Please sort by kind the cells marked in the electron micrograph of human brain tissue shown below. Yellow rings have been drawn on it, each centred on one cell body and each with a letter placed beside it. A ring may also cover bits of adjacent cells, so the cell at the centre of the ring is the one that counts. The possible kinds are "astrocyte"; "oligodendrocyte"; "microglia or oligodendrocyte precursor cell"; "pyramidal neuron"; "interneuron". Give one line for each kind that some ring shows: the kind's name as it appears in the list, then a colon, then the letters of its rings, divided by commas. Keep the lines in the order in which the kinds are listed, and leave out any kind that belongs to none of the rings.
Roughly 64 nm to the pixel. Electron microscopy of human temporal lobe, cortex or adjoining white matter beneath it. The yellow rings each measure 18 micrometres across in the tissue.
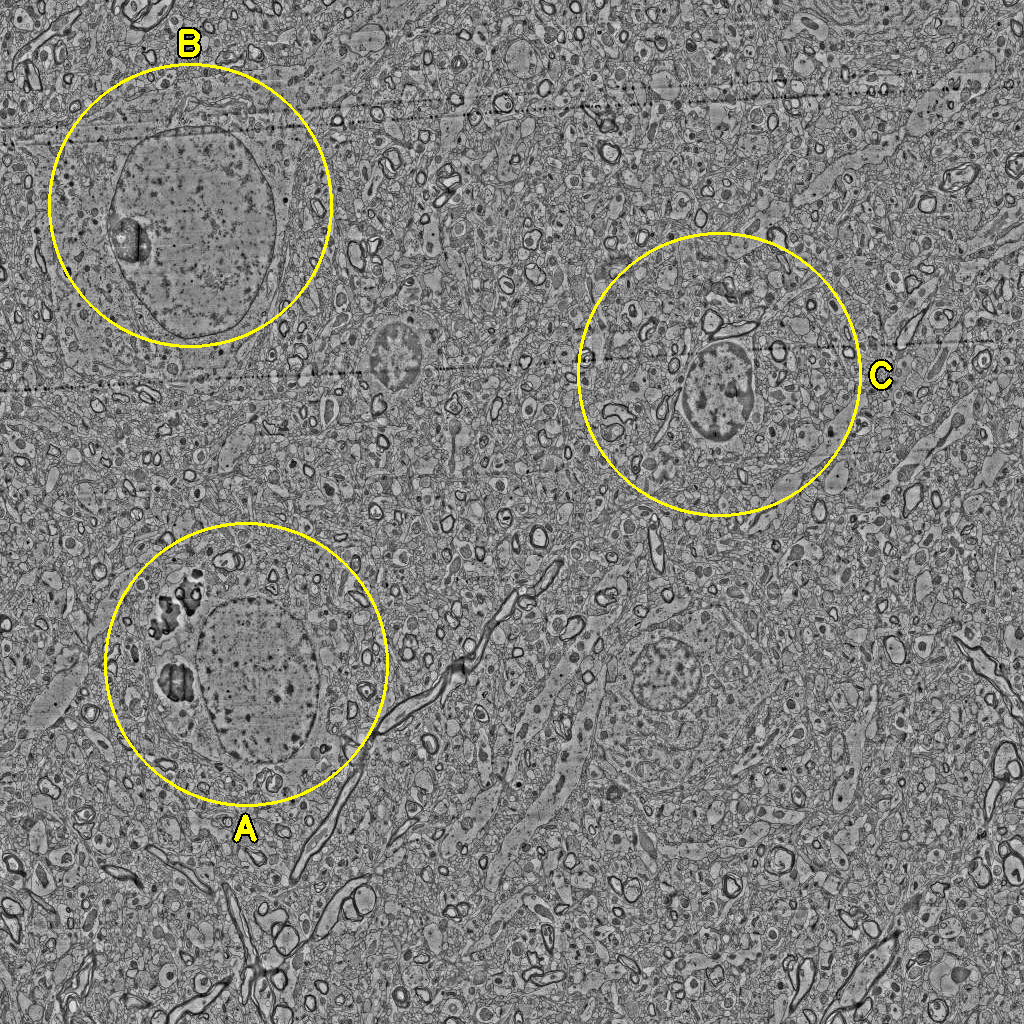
astrocyte: A
microglia or oligodendrocyte precursor cell: C
pyramidal neuron: B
